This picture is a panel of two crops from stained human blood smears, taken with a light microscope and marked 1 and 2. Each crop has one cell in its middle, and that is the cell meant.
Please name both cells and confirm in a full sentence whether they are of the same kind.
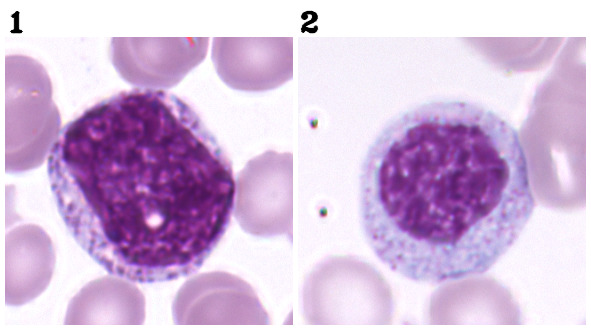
Yes, both crops show myelocytes, and that holds for each one.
